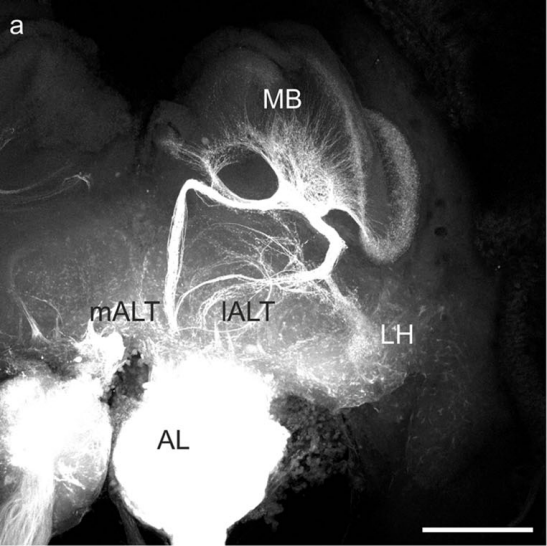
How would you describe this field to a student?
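A bright, densely filled round lobe sits at the bottom of the brain, and from it two fibre bundles rise, one on the medial side and one more laterally. Further branches spread diffusely into a region at the lateral edge.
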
